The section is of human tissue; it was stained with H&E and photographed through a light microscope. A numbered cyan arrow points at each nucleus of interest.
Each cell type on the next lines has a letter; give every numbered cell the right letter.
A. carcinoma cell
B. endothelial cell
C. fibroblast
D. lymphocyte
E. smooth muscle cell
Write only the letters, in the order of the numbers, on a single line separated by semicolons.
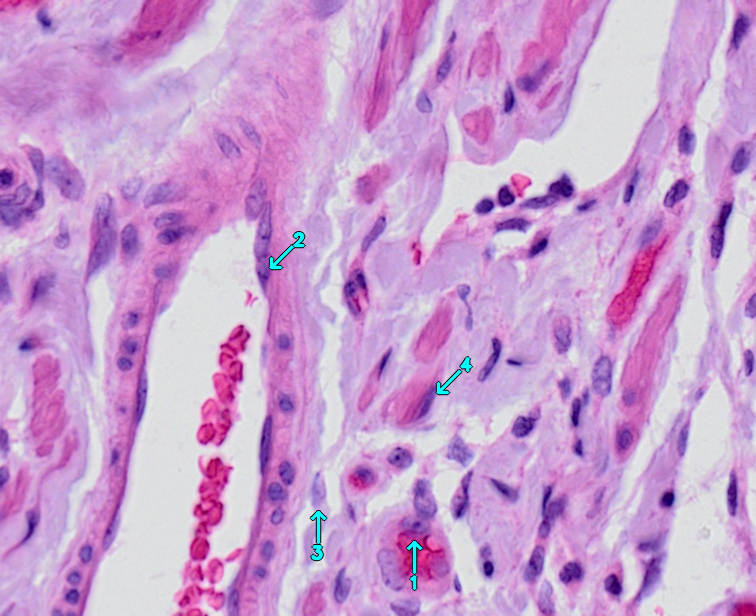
B; B; C; E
